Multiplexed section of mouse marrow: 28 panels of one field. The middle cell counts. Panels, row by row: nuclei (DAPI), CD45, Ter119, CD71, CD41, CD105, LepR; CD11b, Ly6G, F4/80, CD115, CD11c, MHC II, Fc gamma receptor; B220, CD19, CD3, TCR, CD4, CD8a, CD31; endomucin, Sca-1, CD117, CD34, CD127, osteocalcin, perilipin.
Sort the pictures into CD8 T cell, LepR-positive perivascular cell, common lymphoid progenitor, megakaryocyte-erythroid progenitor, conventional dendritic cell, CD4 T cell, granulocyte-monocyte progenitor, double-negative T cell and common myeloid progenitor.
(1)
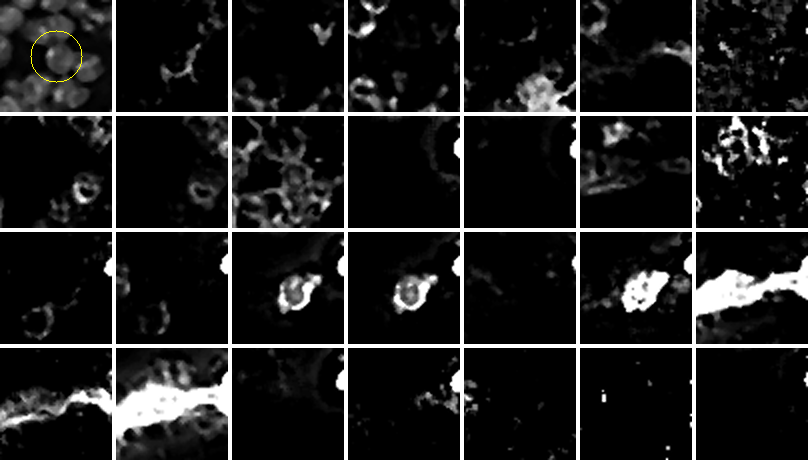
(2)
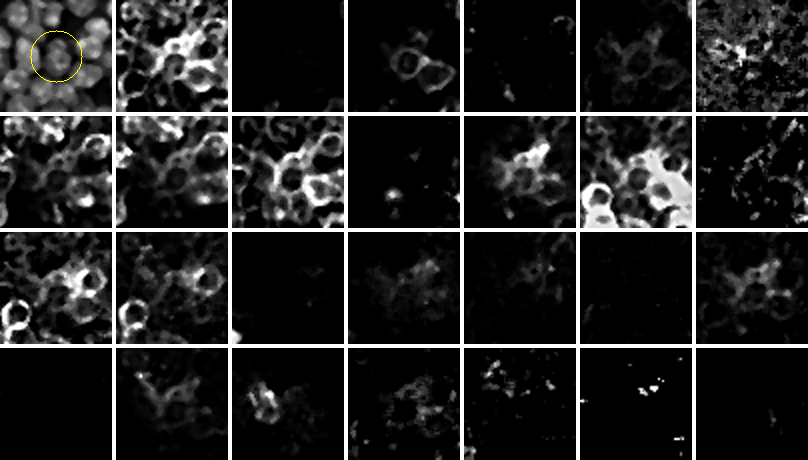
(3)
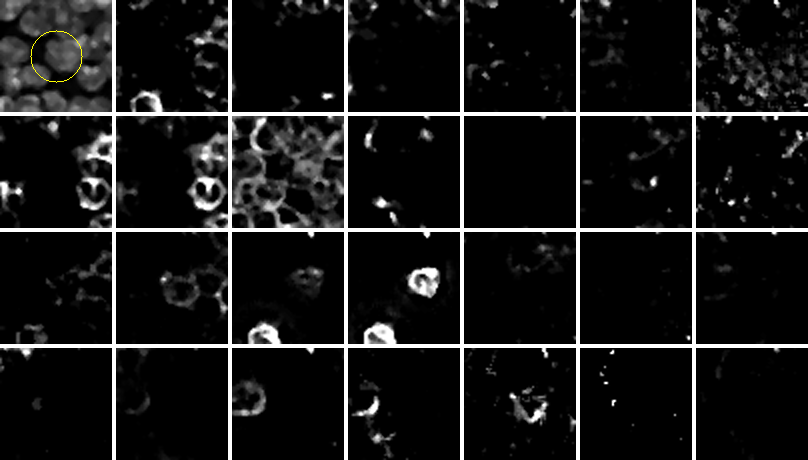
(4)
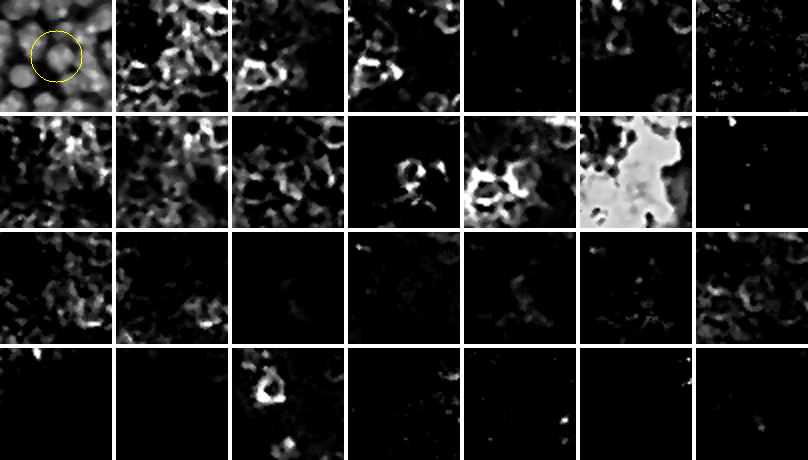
CD8 T cells: 1
Conventional dendritic cells: 2, 4
Common lymphoid progenitors: 3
